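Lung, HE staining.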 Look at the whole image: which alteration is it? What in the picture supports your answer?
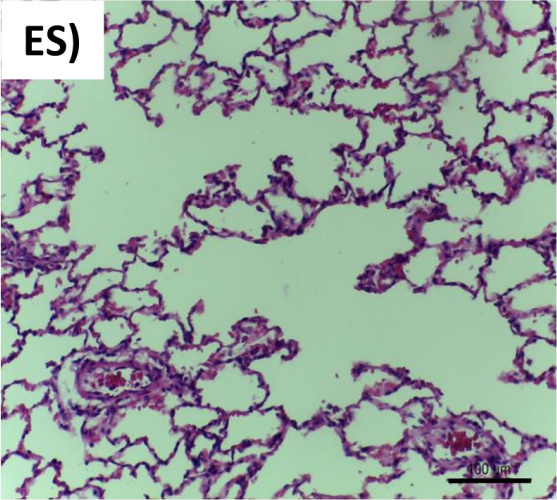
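A very large air space occupies the middle of the field. The surrounding alveolar walls are thin and widely spaced. That points to this answer: dilated alveolar spaces.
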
